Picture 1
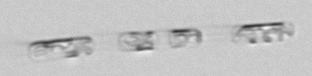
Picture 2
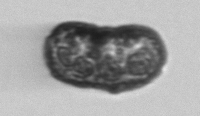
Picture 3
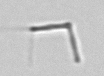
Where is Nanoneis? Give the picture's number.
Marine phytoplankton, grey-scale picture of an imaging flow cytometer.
3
